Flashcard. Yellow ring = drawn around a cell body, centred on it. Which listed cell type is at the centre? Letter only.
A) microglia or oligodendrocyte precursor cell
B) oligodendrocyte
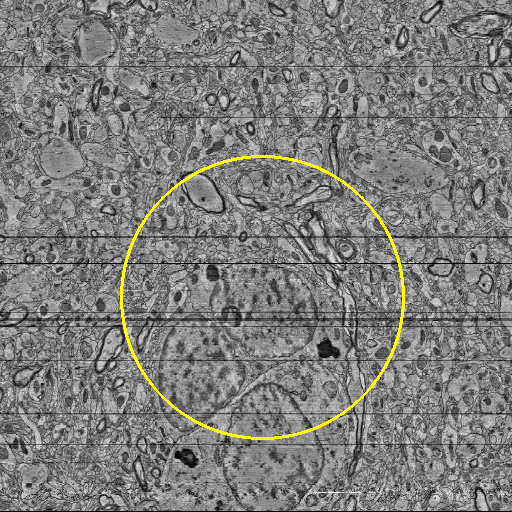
B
